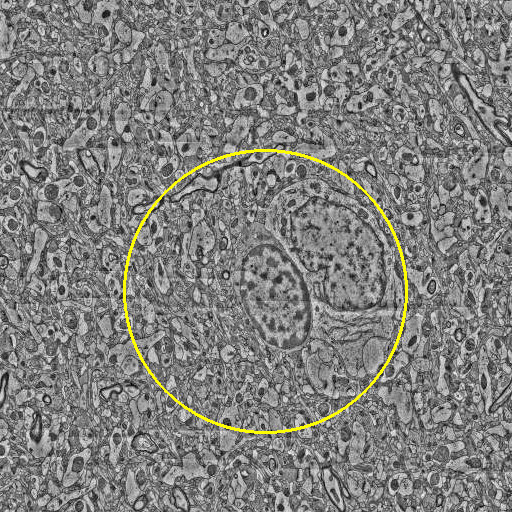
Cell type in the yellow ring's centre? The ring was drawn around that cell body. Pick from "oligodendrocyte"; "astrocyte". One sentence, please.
The ringed cell body is that of an oligodendrocyte.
